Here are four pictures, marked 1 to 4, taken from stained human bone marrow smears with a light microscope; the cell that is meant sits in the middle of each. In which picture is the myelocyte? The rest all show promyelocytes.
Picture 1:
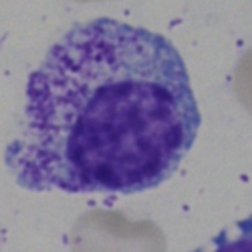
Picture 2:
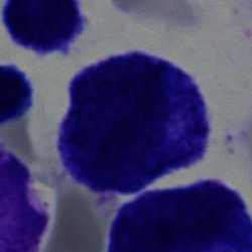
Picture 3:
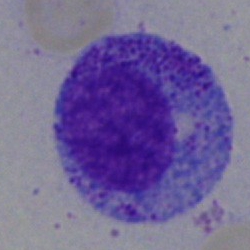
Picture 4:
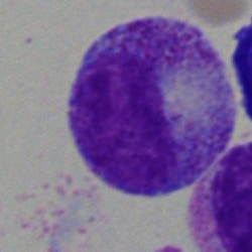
1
